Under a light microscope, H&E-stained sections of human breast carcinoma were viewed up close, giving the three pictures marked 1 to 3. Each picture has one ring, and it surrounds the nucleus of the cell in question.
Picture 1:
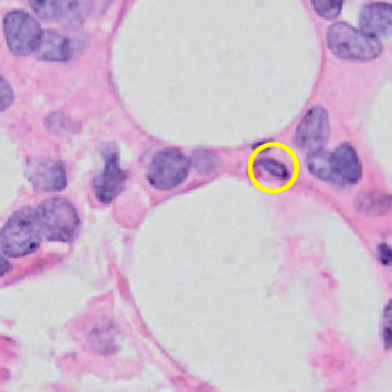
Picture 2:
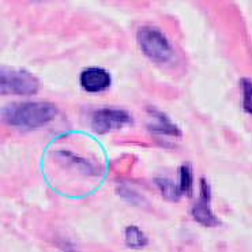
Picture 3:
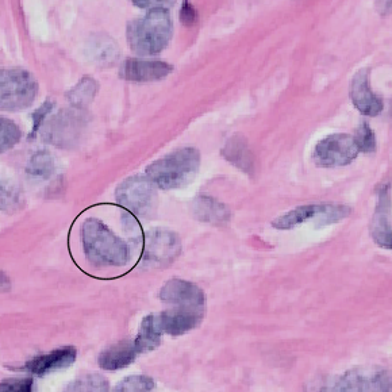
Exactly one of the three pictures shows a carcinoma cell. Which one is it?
3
